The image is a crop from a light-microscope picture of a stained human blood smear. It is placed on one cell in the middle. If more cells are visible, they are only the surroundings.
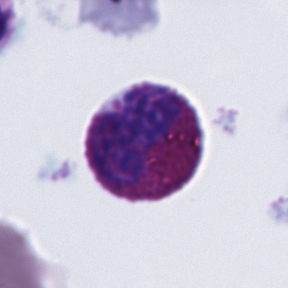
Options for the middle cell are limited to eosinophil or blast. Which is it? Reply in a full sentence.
Present in the middle of the crop is an eosinophil.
